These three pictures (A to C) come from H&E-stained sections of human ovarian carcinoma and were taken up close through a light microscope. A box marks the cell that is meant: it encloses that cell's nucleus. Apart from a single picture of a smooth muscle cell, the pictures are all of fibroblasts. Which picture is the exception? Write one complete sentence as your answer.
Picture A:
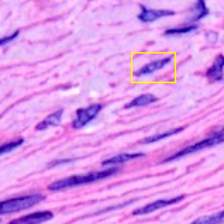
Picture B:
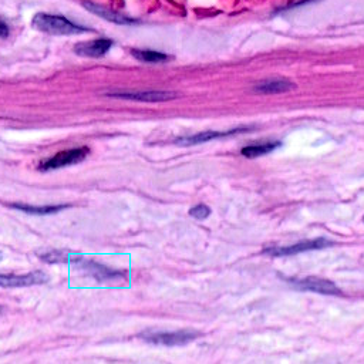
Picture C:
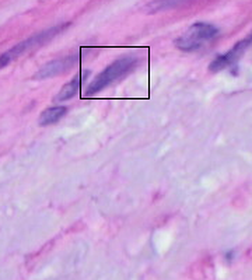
Picture C shows the smooth muscle cell.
